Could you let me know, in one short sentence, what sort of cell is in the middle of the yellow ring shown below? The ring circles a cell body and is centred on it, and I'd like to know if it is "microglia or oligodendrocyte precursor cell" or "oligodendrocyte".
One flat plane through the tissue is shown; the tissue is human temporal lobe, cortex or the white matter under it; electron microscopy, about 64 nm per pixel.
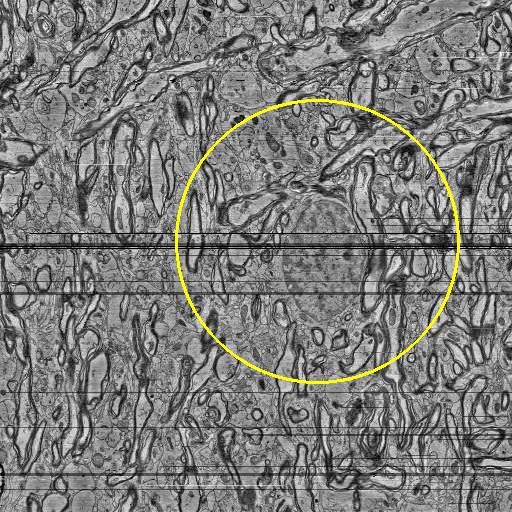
The ring circles the cell body of an oligodendrocyte.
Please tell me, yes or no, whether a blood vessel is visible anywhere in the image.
No, there is no blood vessel.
